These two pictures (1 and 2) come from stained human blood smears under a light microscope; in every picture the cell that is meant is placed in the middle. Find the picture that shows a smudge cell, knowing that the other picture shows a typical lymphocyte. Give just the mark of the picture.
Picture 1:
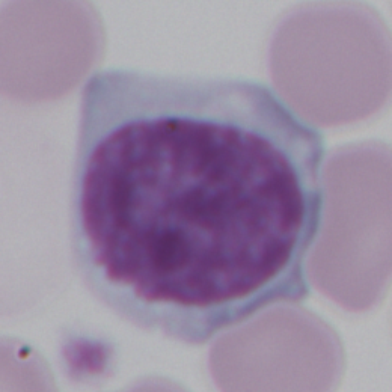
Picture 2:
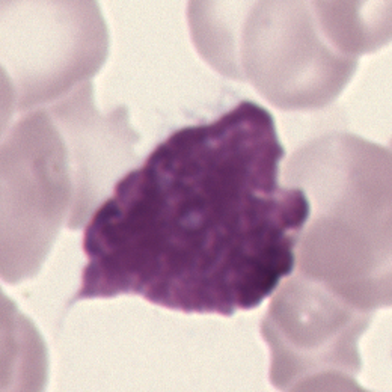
2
